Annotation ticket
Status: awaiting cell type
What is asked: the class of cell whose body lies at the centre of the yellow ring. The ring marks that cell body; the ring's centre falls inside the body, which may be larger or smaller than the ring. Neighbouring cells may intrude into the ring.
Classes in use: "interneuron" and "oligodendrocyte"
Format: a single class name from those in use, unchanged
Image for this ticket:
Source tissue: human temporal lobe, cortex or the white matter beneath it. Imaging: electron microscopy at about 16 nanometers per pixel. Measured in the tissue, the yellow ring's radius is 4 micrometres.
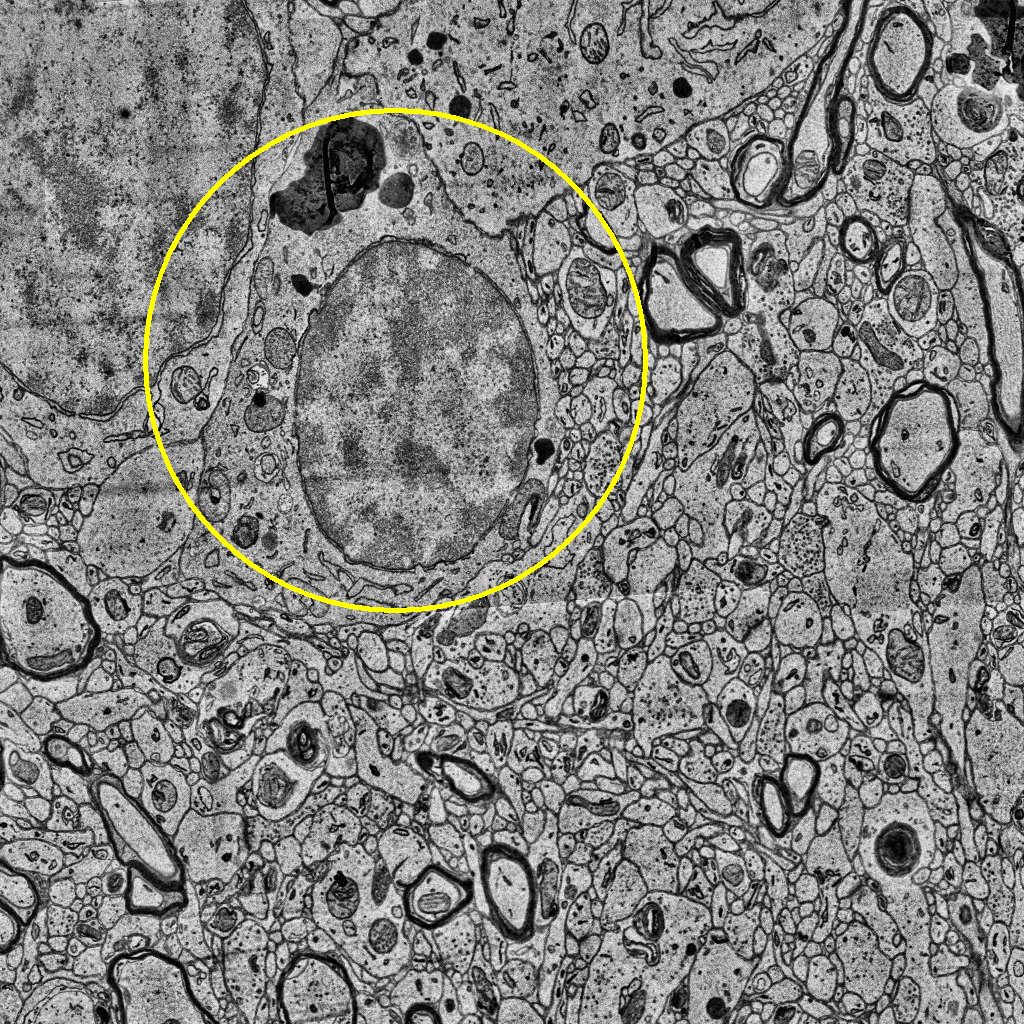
oligodendrocyte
